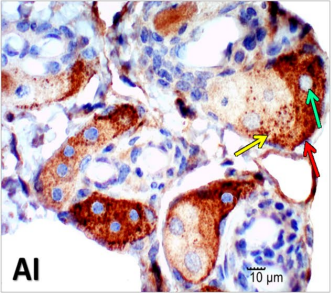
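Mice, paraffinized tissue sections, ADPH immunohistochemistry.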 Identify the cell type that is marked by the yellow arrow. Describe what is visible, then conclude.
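The arrow points into a large rounded cell with finely granular, brown-stained cytoplasm. The cell lies within a lobule of similar large pale-to-brown cells. So: sebaceous cells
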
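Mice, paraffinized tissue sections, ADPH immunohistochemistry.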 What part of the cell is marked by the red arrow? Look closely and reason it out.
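Cellular limits. The arrow points to the outer edge of a brown-stained cell. A sharp boundary separates the stained cytoplasm from the surrounding space.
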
